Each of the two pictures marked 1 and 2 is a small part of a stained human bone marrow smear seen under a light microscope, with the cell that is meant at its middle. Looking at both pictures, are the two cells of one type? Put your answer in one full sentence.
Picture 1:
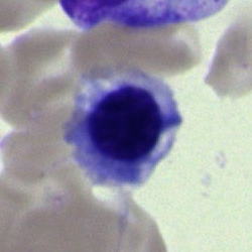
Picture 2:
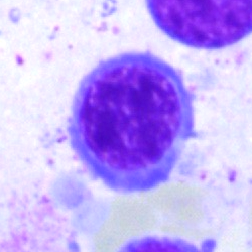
Yes, both are erythroblasts.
